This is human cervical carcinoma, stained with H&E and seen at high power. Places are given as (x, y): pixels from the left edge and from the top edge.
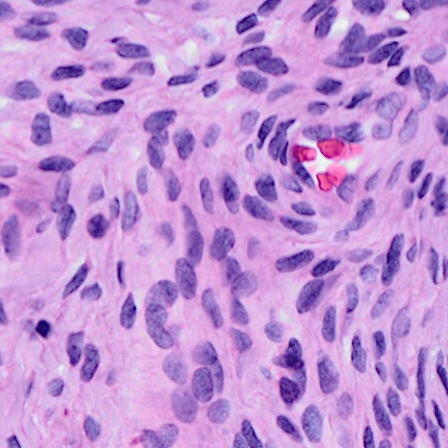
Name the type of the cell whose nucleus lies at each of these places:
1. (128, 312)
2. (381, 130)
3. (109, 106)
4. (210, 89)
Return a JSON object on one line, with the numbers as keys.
{"1": "fibroblast", "2": "endothelial cell", "3": "fibroblast", "4": "fibroblast"}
